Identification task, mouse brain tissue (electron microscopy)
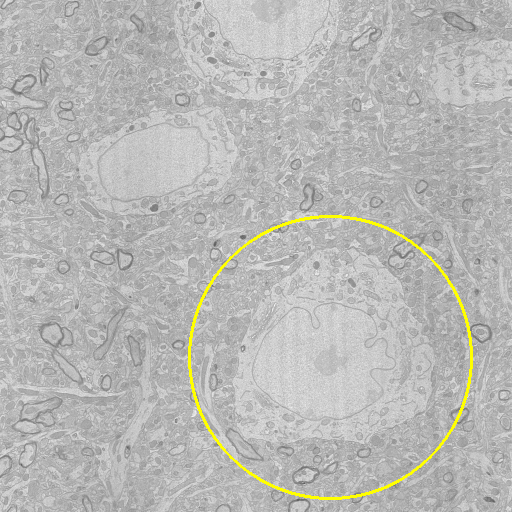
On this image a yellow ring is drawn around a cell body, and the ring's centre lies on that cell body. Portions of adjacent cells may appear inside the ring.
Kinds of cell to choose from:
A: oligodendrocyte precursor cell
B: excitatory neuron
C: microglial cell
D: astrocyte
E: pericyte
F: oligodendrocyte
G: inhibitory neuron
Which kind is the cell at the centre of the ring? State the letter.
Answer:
B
